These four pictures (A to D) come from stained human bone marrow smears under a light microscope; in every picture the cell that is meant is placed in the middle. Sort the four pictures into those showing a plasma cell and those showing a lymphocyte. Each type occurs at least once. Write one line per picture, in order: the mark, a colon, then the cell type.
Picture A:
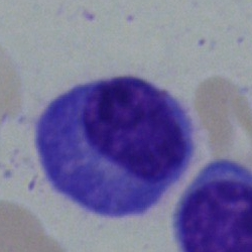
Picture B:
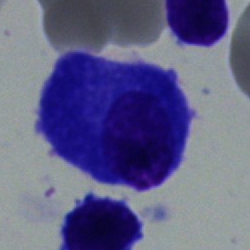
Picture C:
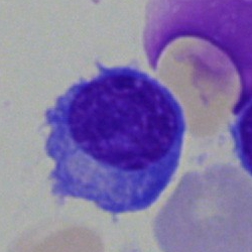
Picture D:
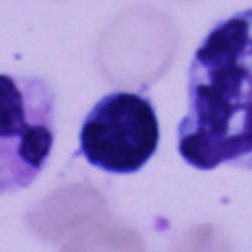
A: plasma cell
B: plasma cell
C: plasma cell
D: lymphocyte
